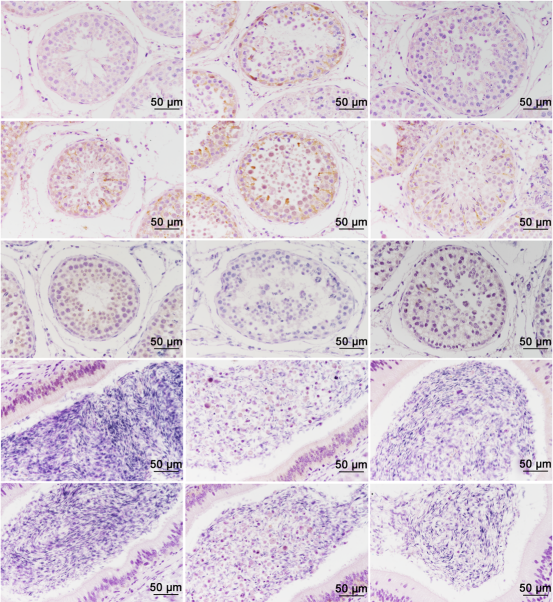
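Testicular and epididymal tissue, grid of sections. Upper three rows: testis, seminiferous tubules cut in cross section, each with several concentric layers of rounded germ cells with purple nuclei around a central lumen, thin interstitial tissue between tubules. Brown staining appears in nuclei and cytoplasm of some tubule cells, varying in intensity between columns and rows. Scattered brown-tinted cells appear within the luminal mass in some images.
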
